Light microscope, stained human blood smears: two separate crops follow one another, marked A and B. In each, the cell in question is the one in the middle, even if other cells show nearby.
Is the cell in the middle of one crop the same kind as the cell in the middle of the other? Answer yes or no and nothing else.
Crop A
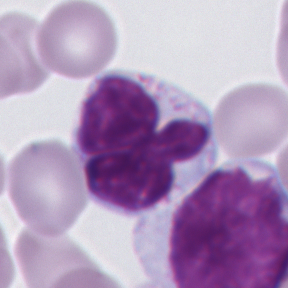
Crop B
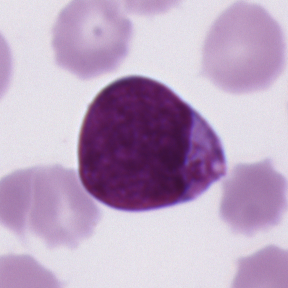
no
